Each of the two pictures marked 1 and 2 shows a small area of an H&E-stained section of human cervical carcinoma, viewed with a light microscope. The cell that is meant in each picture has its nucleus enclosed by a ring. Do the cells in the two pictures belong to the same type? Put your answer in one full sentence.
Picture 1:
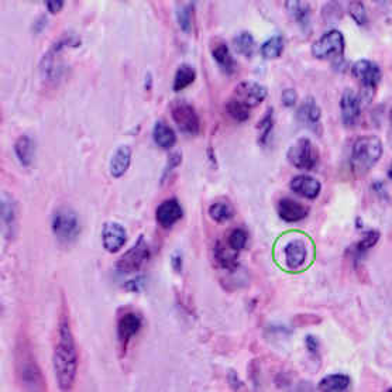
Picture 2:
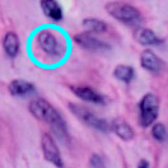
No, picture 1 shows a lymphocyte and picture 2 shows a smooth muscle cell.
